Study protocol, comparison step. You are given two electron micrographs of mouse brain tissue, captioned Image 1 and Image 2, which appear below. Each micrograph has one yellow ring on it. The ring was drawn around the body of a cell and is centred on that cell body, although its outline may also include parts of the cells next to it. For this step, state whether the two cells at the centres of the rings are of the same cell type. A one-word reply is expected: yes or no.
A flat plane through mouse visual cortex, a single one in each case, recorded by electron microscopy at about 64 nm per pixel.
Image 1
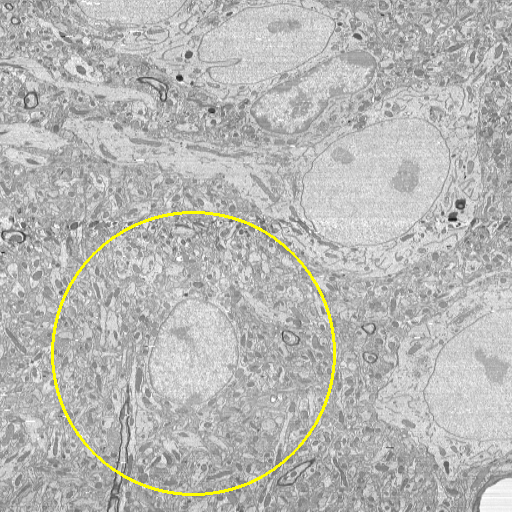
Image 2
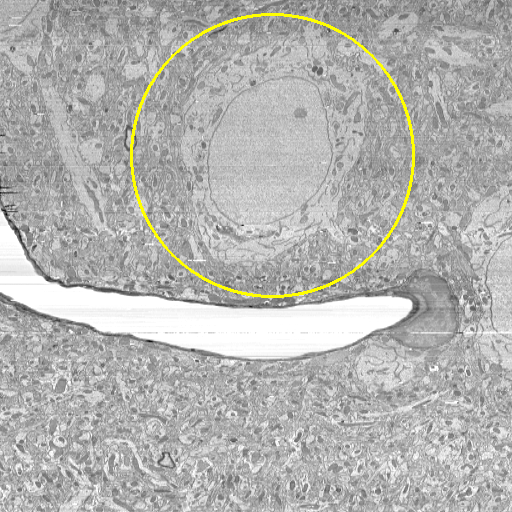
no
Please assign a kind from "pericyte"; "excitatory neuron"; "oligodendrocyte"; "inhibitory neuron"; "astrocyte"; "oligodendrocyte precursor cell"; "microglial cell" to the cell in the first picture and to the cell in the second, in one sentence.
In the first picture we have an astrocyte, and in the second, an excitatory neuron.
